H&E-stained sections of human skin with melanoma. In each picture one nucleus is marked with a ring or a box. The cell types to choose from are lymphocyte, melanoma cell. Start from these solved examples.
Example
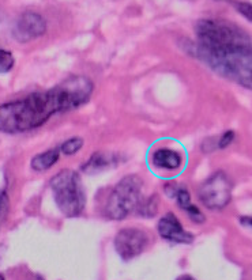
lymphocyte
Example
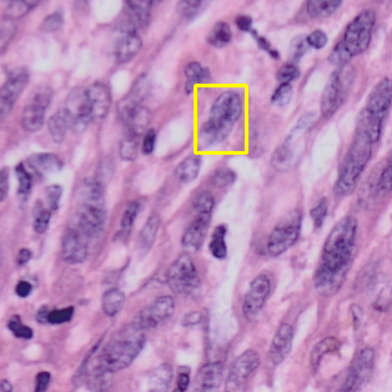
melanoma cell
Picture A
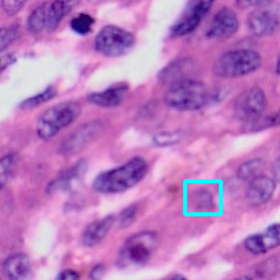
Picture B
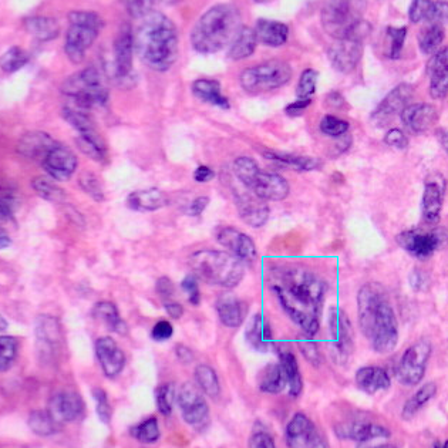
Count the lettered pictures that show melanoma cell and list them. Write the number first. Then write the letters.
2: A, B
